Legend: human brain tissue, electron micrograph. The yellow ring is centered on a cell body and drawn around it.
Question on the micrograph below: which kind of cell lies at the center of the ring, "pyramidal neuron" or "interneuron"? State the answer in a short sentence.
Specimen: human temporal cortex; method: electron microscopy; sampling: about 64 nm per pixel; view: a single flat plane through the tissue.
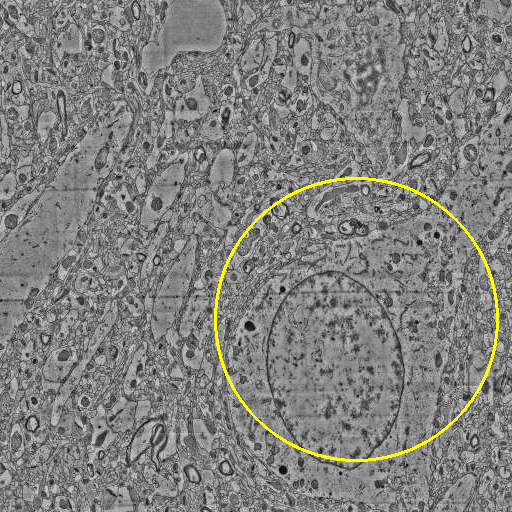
At the center of the ring lies a pyramidal neuron.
